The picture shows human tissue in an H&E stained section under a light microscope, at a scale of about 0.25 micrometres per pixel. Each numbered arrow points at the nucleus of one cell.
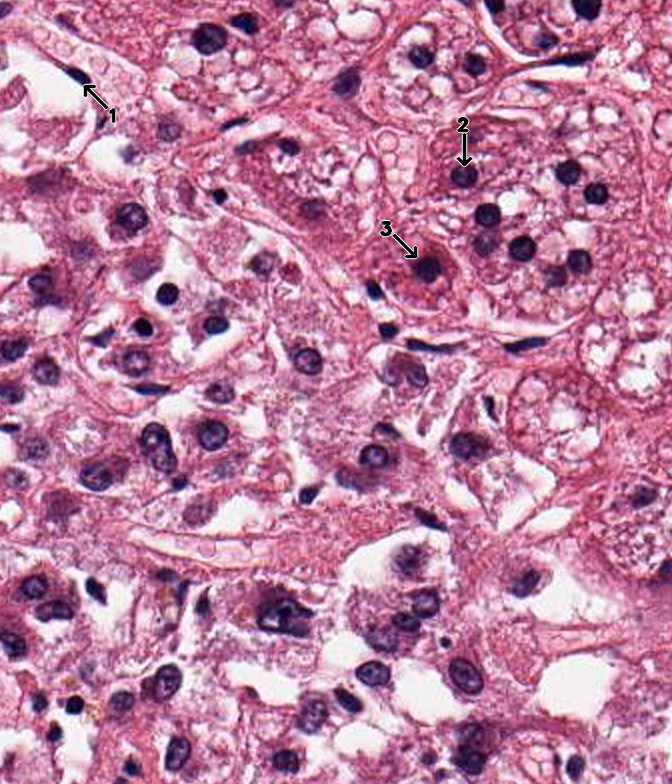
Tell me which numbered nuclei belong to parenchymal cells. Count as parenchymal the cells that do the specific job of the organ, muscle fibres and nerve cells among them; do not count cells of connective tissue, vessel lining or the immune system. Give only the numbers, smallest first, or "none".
2, 3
